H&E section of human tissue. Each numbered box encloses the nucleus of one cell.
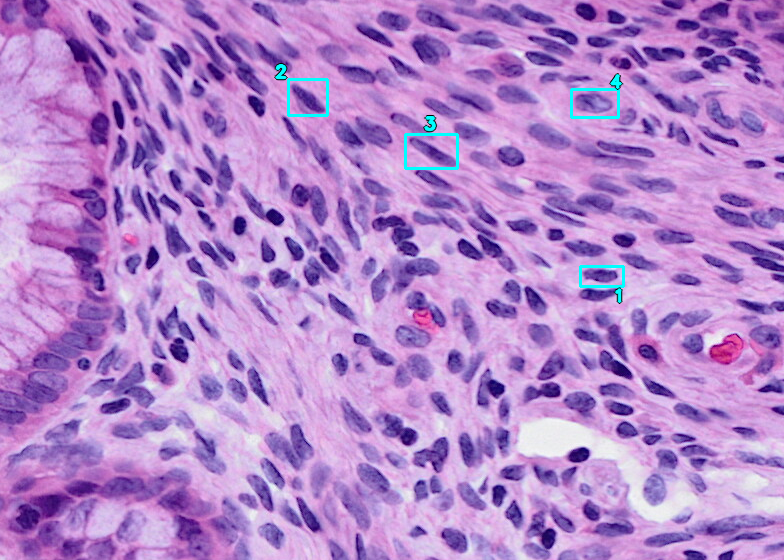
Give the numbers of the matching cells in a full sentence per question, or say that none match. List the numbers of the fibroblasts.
Cells 1, 2 and 3 in the section are typed as fibroblasts.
